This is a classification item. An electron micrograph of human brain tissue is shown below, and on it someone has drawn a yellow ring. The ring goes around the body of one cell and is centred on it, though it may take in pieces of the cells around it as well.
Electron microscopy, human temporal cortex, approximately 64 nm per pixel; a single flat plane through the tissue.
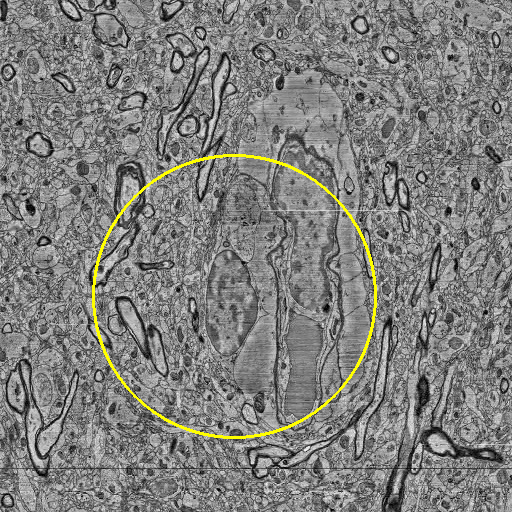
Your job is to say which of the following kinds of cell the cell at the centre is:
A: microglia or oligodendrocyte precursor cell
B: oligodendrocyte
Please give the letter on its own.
A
